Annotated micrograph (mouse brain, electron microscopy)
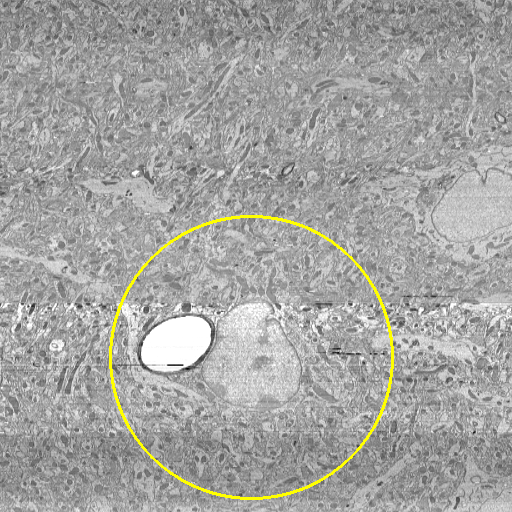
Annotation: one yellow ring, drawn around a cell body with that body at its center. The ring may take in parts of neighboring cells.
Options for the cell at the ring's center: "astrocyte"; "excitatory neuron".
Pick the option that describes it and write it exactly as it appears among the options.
astrocyte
